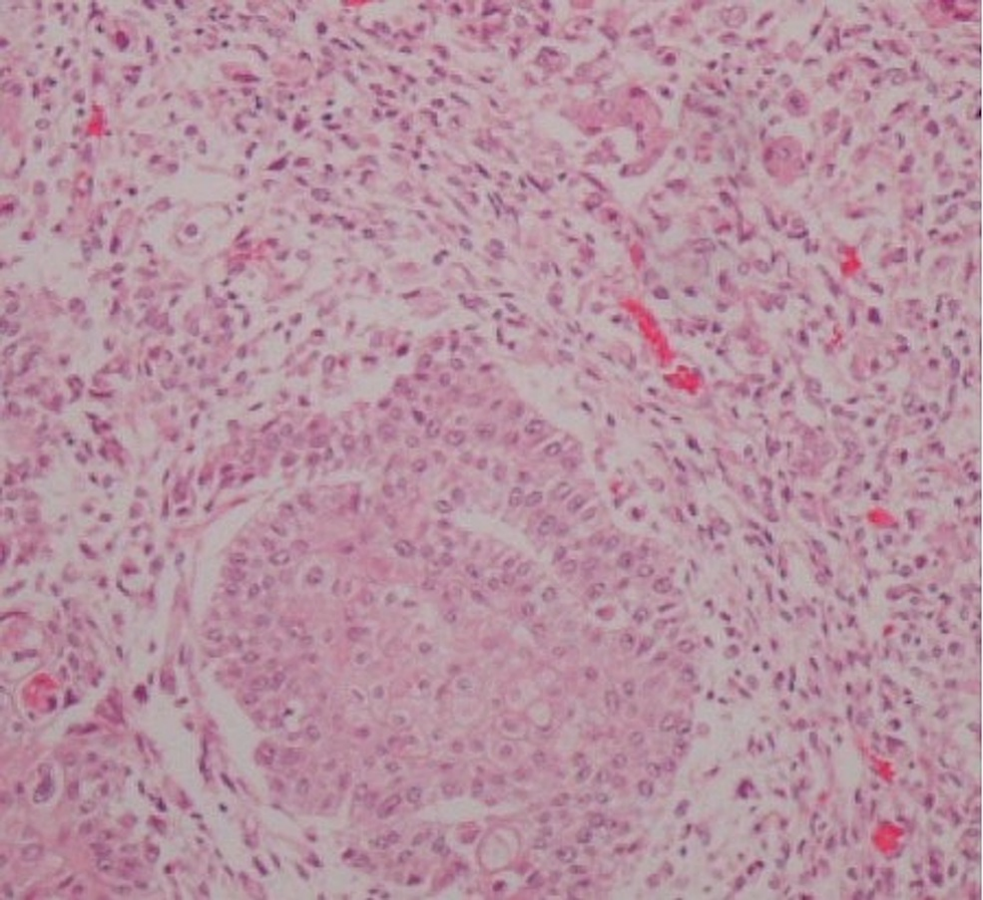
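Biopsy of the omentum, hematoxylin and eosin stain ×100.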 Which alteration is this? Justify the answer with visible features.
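A central cohesive nest of polygonal cells with round nuclei and pink cytoplasm. Surrounding densely cellular tissue of spindle-shaped cells with elongated dark nuclei. The two cell populations lie side by side. The answer: a mixture of epithelial and stromal components.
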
